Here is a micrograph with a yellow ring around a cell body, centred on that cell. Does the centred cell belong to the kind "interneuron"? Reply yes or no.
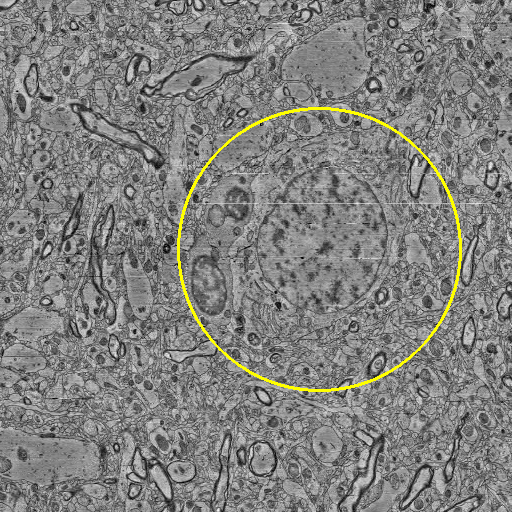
yes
